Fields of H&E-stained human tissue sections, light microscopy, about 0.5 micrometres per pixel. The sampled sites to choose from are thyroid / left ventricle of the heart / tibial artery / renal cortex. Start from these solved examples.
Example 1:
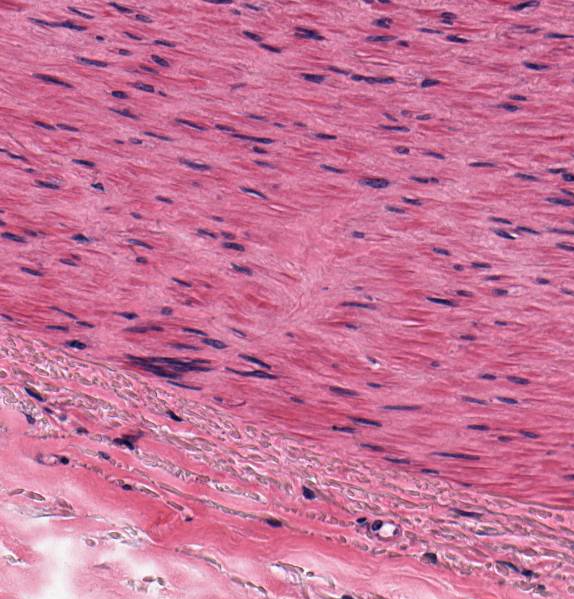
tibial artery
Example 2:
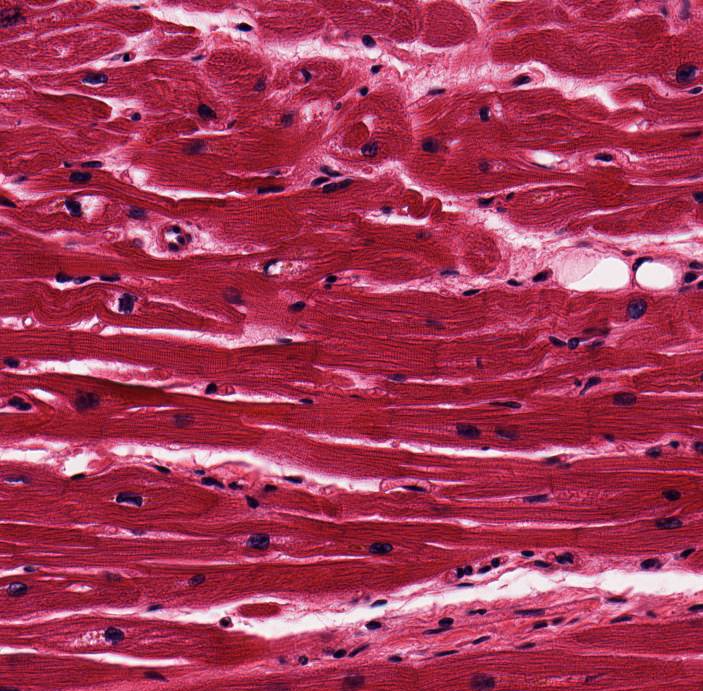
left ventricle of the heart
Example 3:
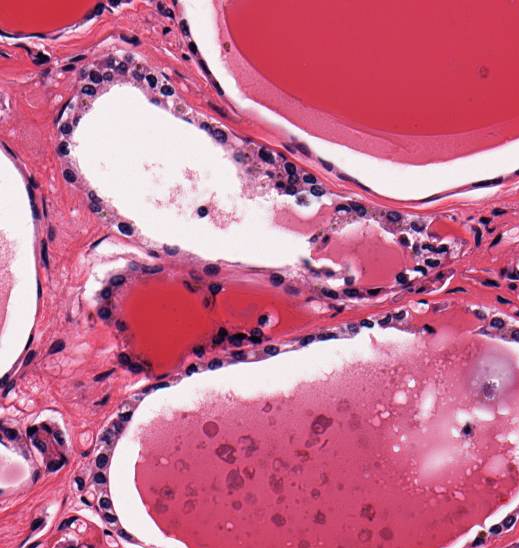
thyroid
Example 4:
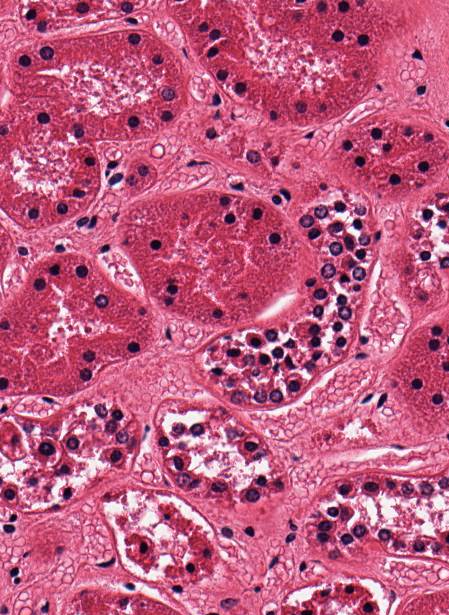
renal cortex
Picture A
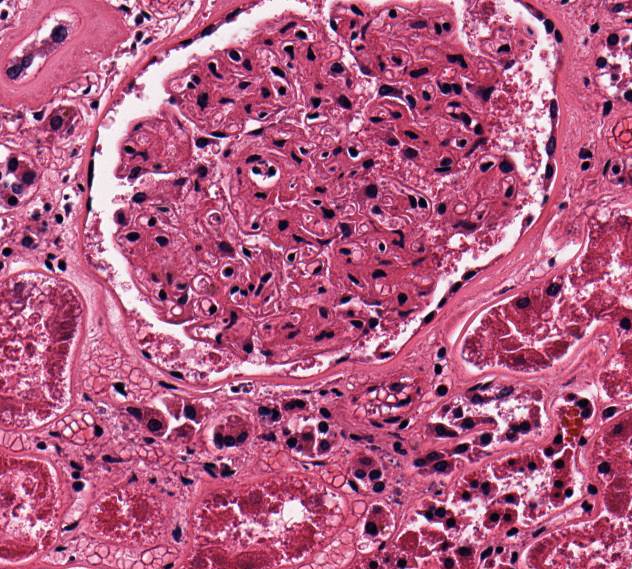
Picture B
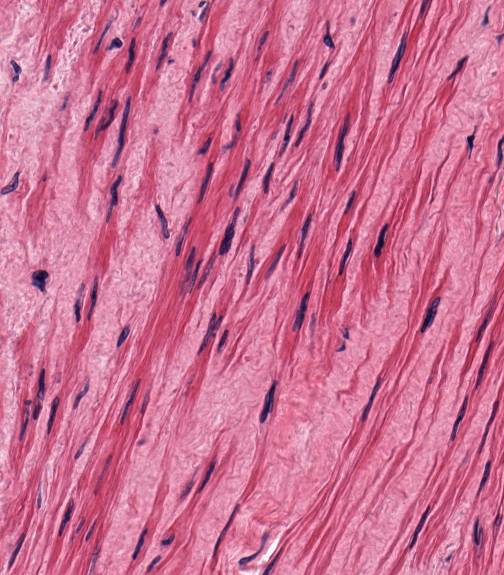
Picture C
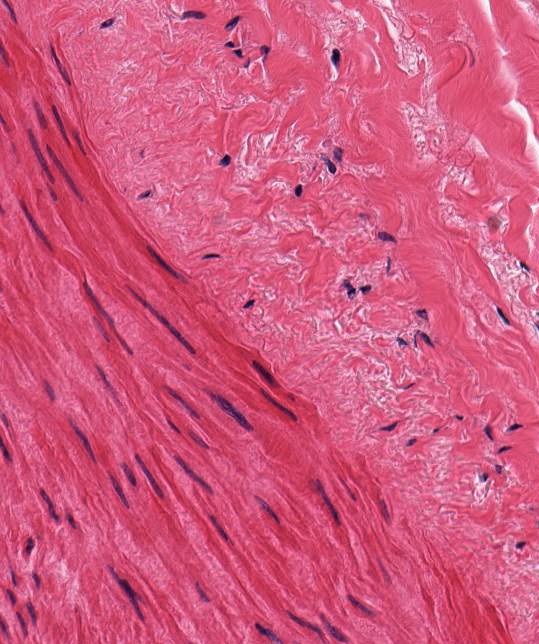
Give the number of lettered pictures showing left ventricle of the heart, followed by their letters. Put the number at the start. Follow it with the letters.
0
